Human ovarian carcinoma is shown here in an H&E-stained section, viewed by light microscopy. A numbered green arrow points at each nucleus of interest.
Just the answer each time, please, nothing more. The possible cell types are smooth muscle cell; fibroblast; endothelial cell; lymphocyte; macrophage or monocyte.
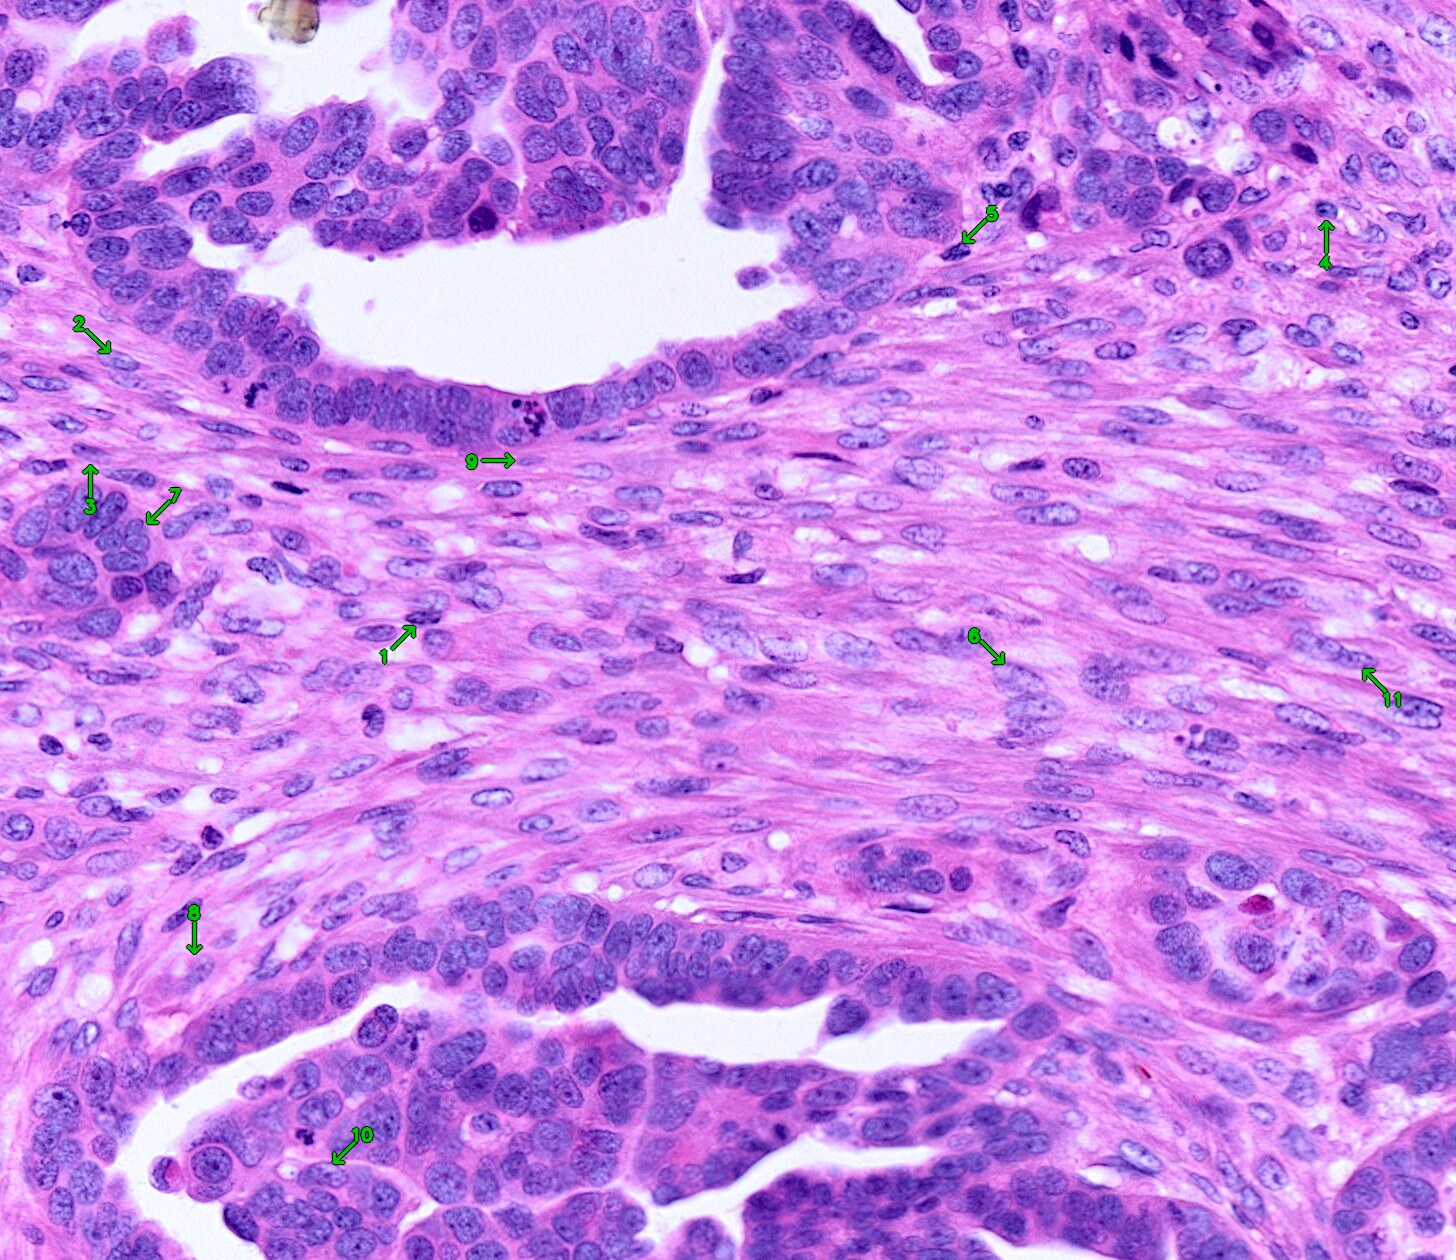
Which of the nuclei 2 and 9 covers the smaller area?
9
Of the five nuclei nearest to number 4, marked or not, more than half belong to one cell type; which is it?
fibroblast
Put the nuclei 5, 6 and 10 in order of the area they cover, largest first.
6, 10, 5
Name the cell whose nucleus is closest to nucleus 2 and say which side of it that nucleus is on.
a fibroblast; below and to the right of nucleus 2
